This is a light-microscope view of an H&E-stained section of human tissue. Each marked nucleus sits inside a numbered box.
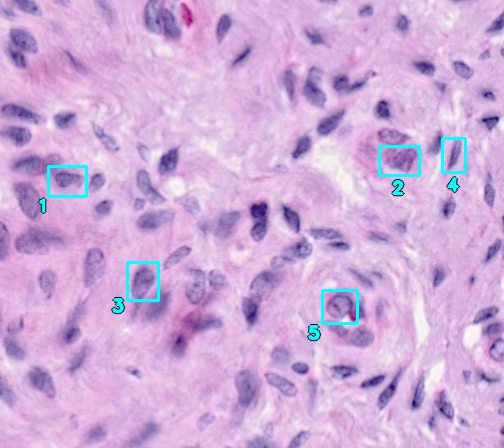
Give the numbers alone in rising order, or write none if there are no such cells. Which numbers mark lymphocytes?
none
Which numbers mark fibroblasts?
1, 3, 4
